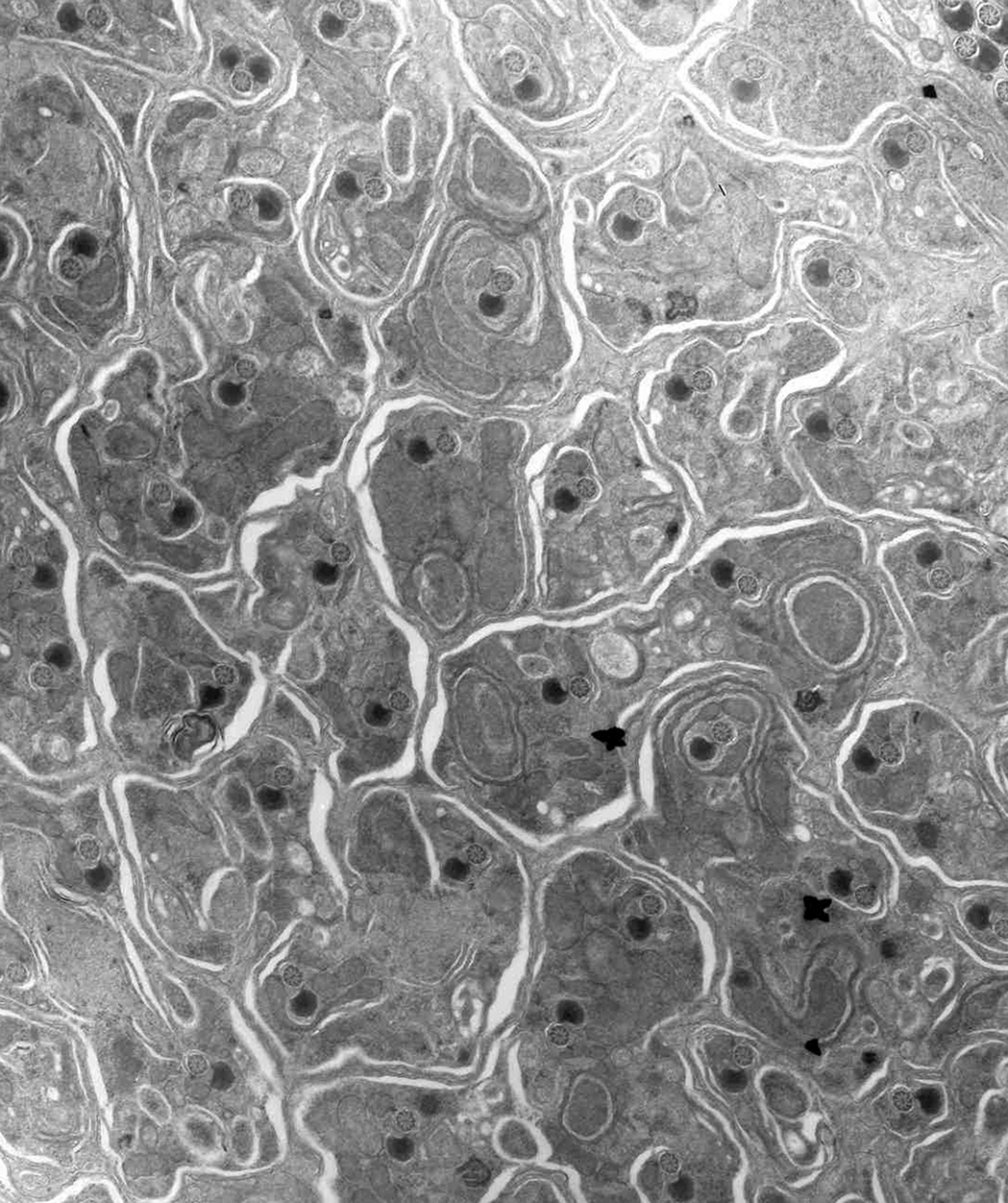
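Cross-section through a packed group of cell profiles, each holding a small round axoneme with a ring of microtubule doublets and a dark round body beside it. In several profiles, concentric whorls of membrane spiral around the axoneme. Pale clefts separate the irregular, finely granular cytoplasmic compartments.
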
